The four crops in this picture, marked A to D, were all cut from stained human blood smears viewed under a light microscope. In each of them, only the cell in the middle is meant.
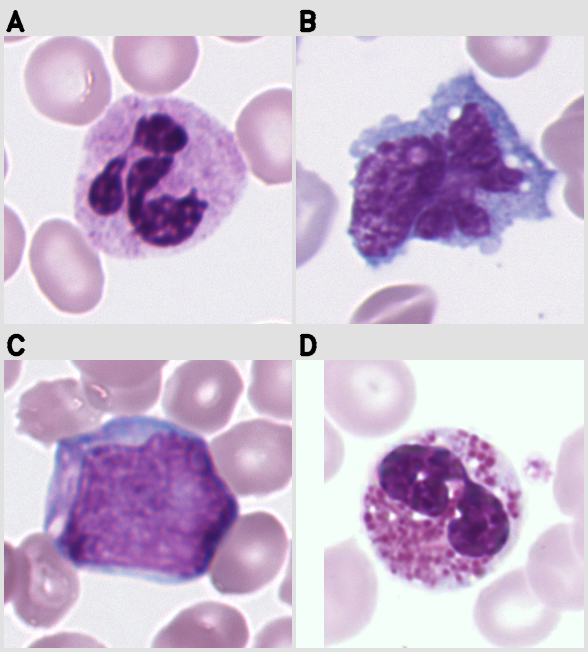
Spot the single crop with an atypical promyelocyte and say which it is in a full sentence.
The crop that shows an atypical promyelocyte is crop C.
